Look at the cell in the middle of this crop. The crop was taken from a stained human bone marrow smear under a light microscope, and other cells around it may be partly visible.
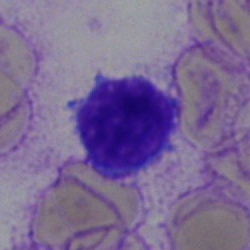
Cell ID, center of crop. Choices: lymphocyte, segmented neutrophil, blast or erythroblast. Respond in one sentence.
In the middle of this smear crop, the cell is a lymphocyte.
